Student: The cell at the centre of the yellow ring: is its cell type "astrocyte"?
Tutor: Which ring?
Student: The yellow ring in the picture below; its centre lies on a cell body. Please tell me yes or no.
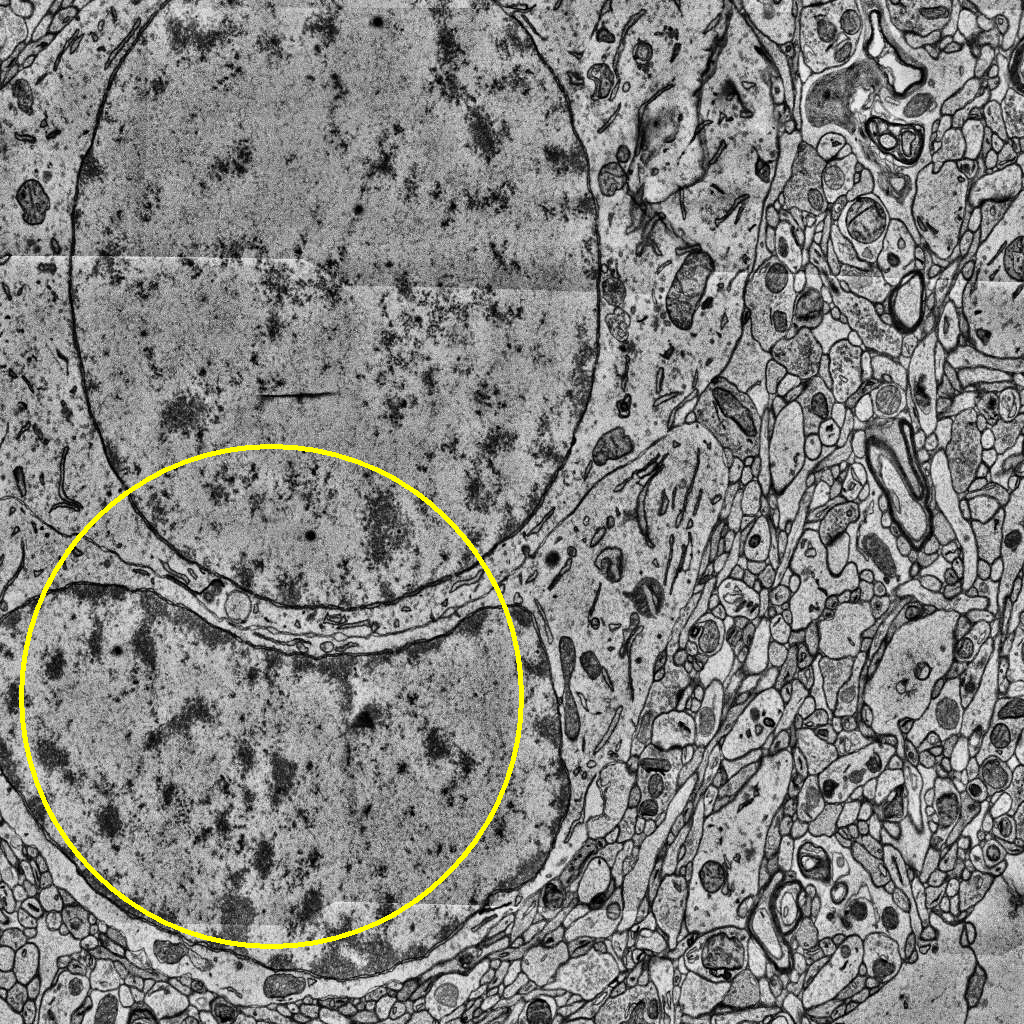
no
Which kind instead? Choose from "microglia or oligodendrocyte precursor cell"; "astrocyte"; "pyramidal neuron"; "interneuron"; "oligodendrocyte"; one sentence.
Instead, the ring in this picture marks a microglial cell or oligodendrocyte precursor cell.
